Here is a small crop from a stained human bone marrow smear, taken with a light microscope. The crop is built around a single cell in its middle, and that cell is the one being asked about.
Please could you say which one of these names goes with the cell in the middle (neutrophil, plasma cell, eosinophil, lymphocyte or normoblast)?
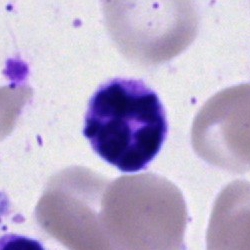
neutrophil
